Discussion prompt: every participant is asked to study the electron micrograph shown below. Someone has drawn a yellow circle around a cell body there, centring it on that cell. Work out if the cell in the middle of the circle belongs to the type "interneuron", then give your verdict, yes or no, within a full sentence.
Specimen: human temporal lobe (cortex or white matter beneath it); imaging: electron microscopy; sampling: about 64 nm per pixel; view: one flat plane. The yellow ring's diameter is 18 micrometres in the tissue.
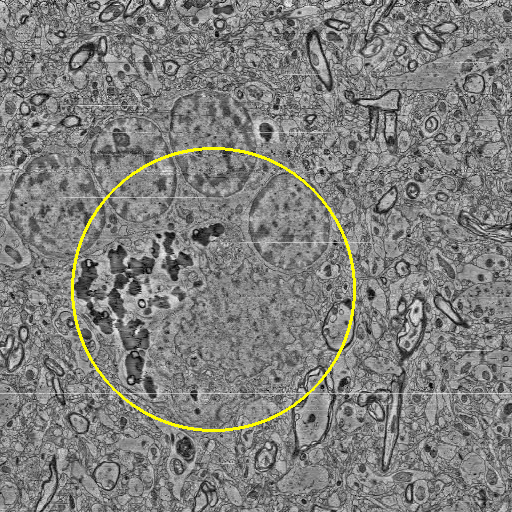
Yes, my verdict is that the cell in the circle's centre is of that type.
